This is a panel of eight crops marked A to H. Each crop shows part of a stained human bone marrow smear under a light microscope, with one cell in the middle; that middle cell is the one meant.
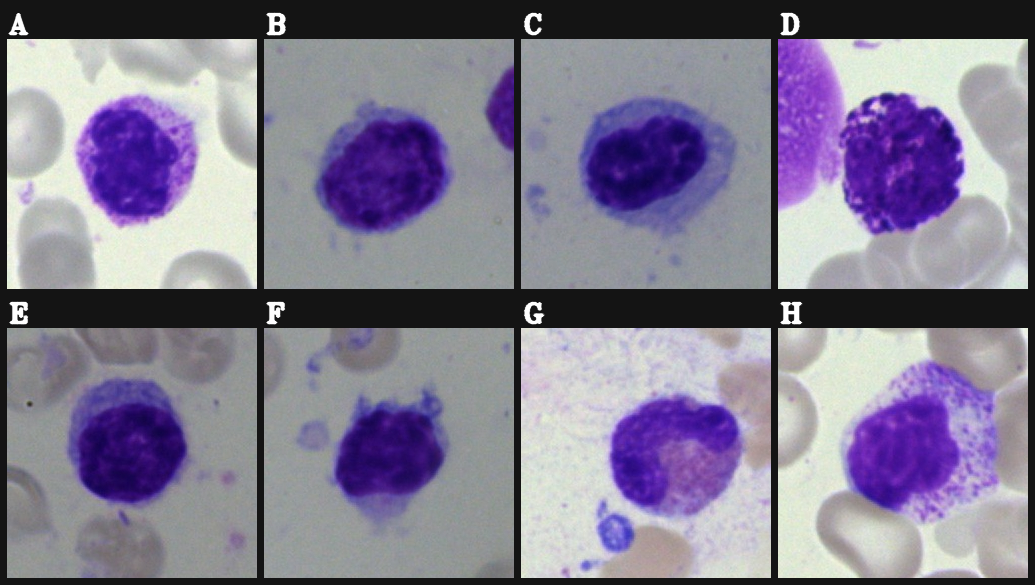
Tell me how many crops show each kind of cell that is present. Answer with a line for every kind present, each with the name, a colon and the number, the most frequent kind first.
hairy cell: 4
basophil: 3
myelocyte: 1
